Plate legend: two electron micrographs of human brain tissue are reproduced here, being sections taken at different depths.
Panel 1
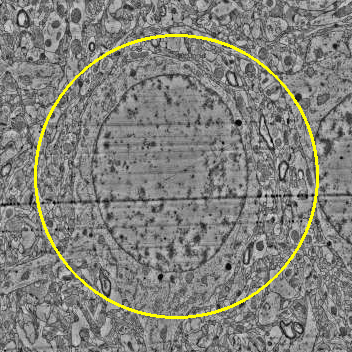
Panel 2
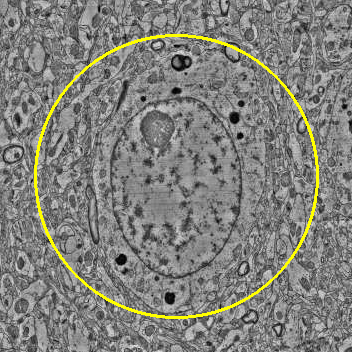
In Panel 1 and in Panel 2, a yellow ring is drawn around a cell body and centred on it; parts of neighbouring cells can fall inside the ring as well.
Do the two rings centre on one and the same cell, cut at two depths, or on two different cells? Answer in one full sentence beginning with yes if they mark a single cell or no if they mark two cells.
Yes, the two marked outlines come from one and the same cell.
